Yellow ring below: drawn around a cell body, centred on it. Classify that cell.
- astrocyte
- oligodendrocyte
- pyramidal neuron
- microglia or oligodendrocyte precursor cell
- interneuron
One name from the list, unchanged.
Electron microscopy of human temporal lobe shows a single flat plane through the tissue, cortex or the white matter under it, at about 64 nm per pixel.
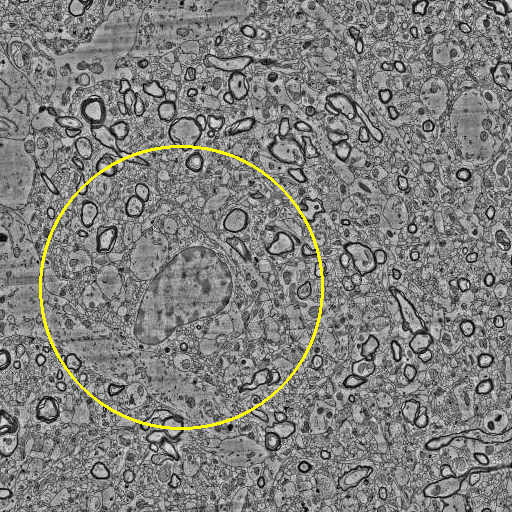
microglia or oligodendrocyte precursor cell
